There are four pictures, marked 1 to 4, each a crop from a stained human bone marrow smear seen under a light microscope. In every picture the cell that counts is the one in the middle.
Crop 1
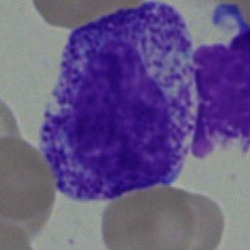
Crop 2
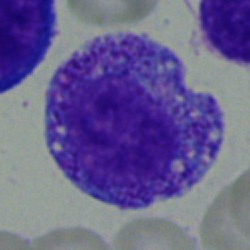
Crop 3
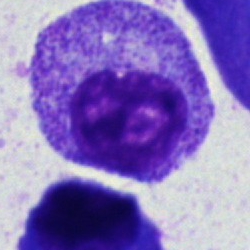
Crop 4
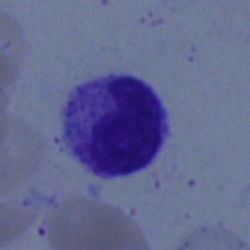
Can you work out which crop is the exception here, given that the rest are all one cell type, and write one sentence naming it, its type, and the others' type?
Crop 4 is the only crop with a metamyelocyte, the others all showing myelocytes.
